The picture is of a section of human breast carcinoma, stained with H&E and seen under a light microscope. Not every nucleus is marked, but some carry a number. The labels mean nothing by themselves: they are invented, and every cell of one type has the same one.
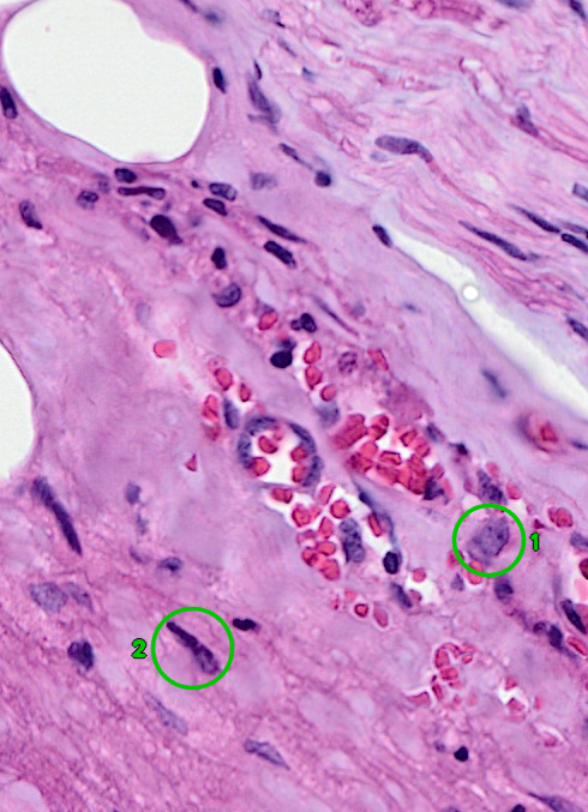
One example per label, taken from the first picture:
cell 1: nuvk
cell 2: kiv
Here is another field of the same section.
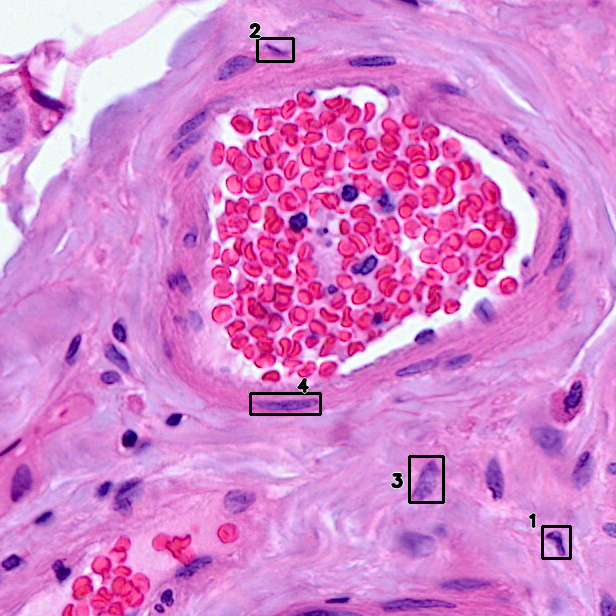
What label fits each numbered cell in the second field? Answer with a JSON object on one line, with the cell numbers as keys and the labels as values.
{"1": "kiv", "2": "kiv", "3": "kiv", "4": "nuvk"}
